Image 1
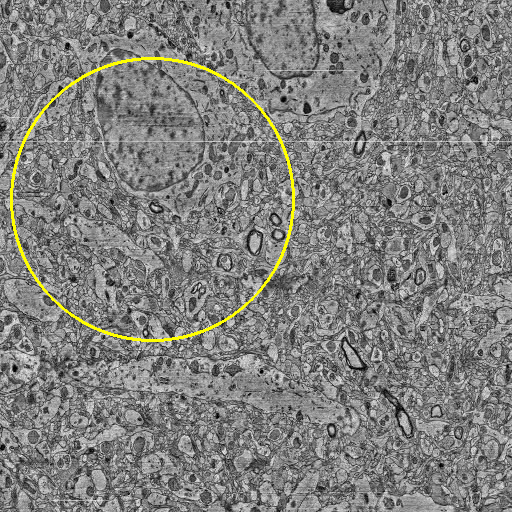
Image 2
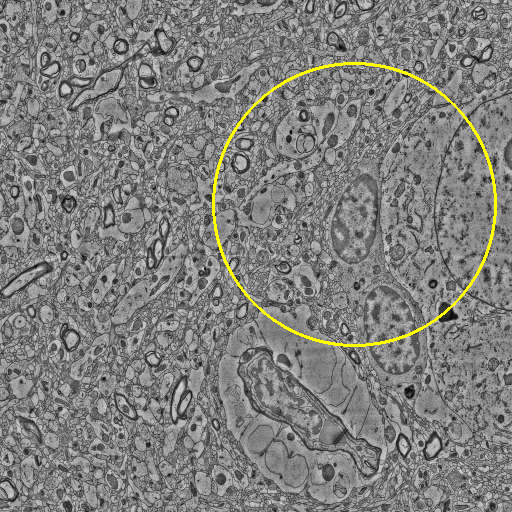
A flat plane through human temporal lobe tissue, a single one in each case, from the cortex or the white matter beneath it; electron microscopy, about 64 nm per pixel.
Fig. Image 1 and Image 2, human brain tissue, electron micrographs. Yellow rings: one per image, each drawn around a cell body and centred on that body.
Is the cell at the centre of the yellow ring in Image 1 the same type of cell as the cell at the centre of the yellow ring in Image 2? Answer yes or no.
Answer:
no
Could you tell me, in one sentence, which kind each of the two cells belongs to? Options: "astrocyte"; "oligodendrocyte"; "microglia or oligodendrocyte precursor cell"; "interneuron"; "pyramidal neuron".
At the centre of the first ring sits a microglial cell or oligodendrocyte precursor cell, and at the centre of the second sits an oligodendrocyte.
